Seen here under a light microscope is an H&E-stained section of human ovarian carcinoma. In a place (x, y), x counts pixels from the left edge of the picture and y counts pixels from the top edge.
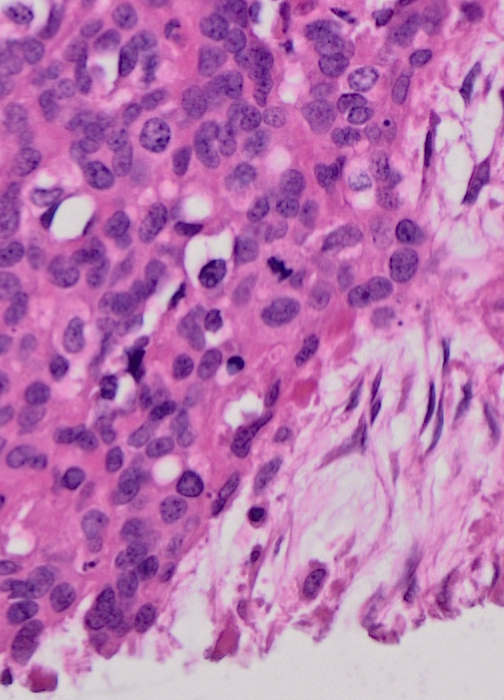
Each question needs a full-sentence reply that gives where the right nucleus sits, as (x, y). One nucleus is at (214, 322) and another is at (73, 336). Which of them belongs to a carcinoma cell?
Among the two nuclei, the one found at (214, 322) belongs to a carcinoma cell.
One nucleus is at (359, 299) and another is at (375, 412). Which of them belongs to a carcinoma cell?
The nucleus found at (359, 299) belongs to a carcinoma cell.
